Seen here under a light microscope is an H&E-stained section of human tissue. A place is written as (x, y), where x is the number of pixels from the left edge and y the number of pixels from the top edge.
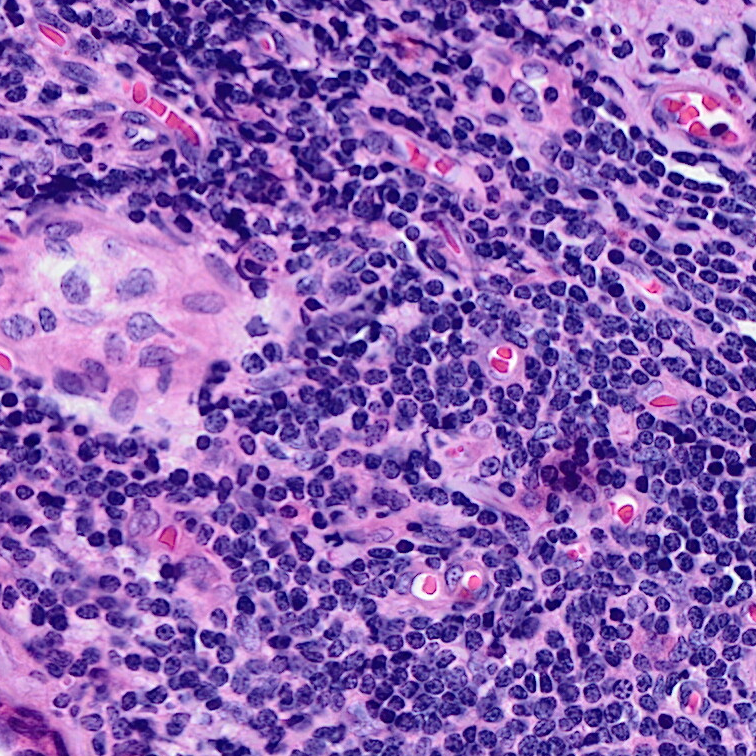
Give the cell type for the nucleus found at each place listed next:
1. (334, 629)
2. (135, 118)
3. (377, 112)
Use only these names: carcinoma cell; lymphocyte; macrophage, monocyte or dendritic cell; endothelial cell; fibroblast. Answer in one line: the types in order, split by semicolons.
lymphocyte; endothelial cell; lymphocyte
